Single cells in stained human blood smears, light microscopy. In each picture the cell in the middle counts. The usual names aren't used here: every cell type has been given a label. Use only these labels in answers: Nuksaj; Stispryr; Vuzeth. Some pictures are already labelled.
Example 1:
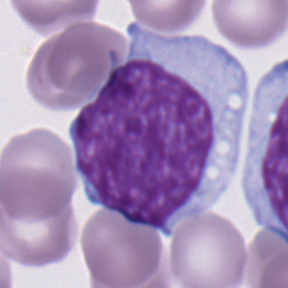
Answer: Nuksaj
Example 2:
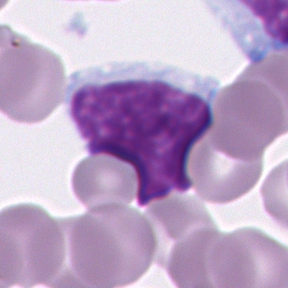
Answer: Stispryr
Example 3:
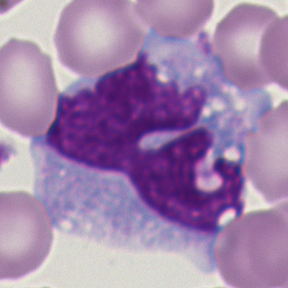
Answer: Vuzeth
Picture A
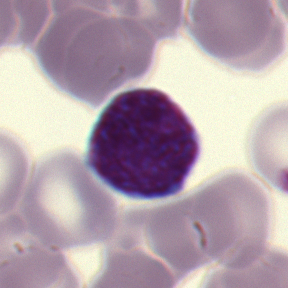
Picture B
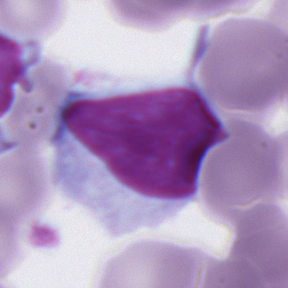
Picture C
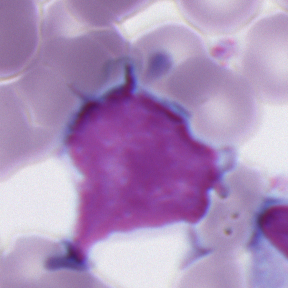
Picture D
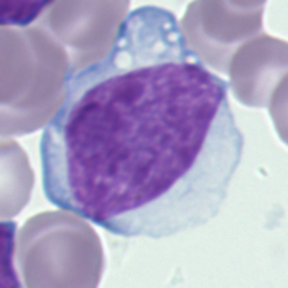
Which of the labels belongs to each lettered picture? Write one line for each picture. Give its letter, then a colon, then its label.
A: Stispryr
B: Stispryr
C: Stispryr
D: Nuksaj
